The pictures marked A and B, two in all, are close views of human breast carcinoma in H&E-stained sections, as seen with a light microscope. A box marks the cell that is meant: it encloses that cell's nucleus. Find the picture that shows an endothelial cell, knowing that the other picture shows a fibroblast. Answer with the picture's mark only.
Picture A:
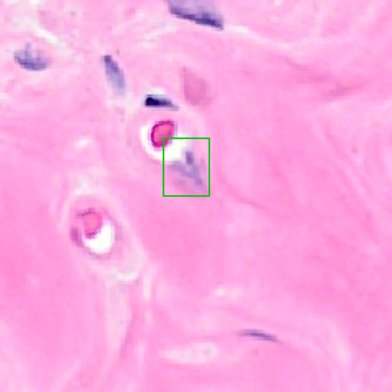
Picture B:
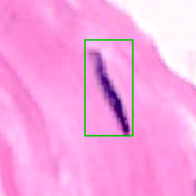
A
